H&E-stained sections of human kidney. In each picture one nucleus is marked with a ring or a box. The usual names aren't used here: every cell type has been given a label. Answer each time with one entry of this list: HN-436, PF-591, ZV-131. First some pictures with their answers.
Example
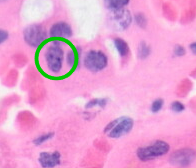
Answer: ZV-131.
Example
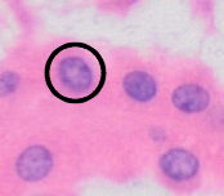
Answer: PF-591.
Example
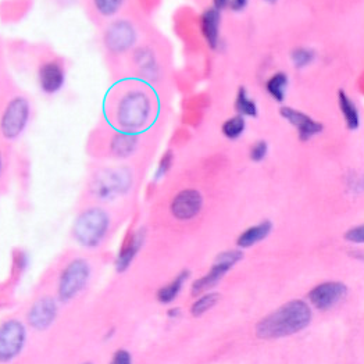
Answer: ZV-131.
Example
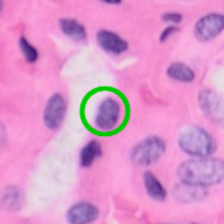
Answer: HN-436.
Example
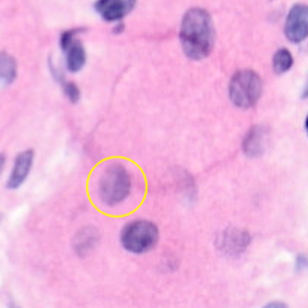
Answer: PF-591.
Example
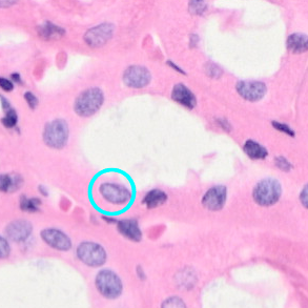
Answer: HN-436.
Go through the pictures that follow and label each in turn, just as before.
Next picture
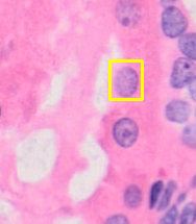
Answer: PF-591.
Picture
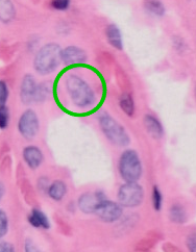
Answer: ZV-131.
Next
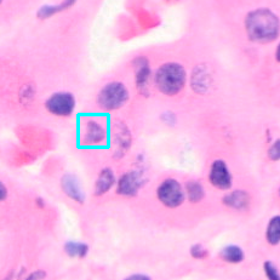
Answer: ZV-131.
